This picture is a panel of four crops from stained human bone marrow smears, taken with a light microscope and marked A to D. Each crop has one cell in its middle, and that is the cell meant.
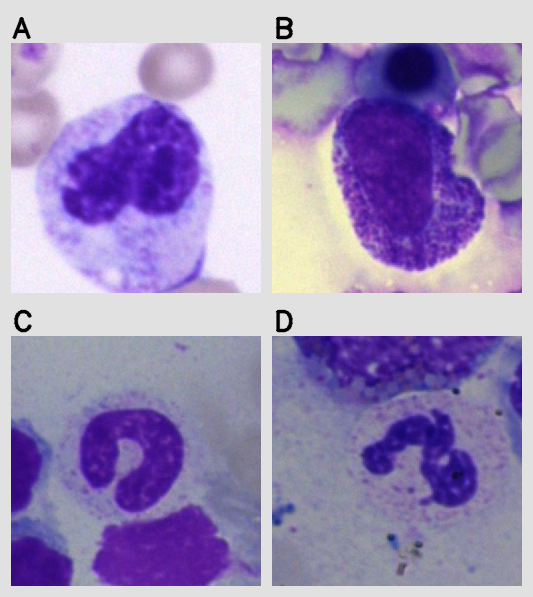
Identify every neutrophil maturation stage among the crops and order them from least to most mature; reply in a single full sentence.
The arrangement from least to most mature is crop B (a promyelocyte), crop A (a metamyelocyte), crop C (a band neutrophil) and crop D (a segmented neutrophil).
